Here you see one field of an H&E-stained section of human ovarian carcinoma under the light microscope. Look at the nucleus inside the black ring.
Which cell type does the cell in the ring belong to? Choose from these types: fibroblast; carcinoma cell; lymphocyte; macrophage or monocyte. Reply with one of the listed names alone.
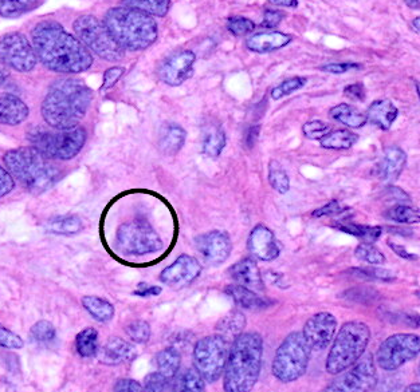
fibroblast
